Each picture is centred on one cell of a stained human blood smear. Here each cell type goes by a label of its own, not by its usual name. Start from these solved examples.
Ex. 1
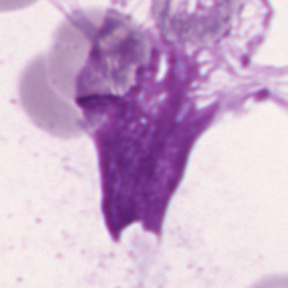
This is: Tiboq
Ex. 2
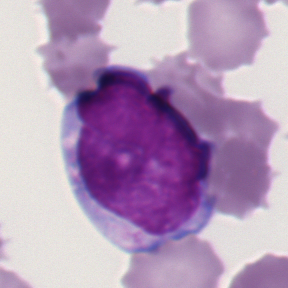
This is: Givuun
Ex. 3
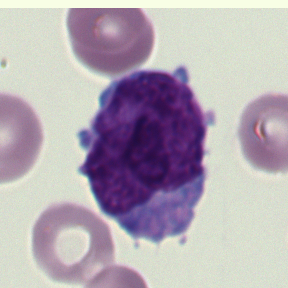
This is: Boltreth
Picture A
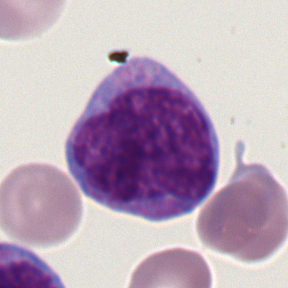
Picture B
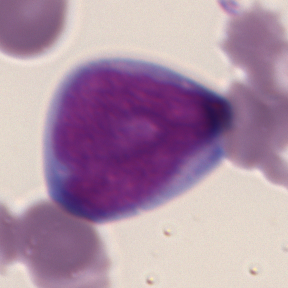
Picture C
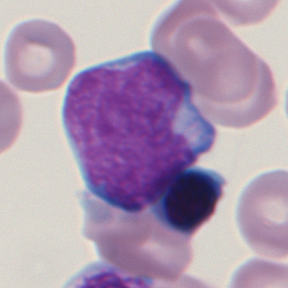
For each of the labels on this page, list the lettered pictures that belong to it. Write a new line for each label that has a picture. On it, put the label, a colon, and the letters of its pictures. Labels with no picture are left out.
Givuun: B, C
Boltreth: A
